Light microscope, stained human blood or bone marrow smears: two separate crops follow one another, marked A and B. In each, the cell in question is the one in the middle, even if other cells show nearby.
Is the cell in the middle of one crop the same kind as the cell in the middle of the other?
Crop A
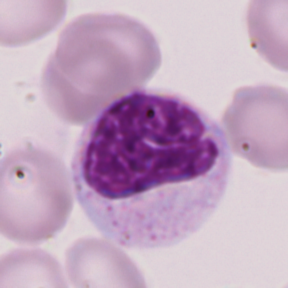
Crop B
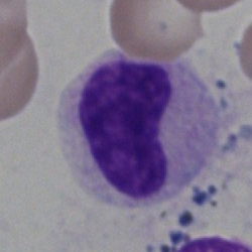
no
